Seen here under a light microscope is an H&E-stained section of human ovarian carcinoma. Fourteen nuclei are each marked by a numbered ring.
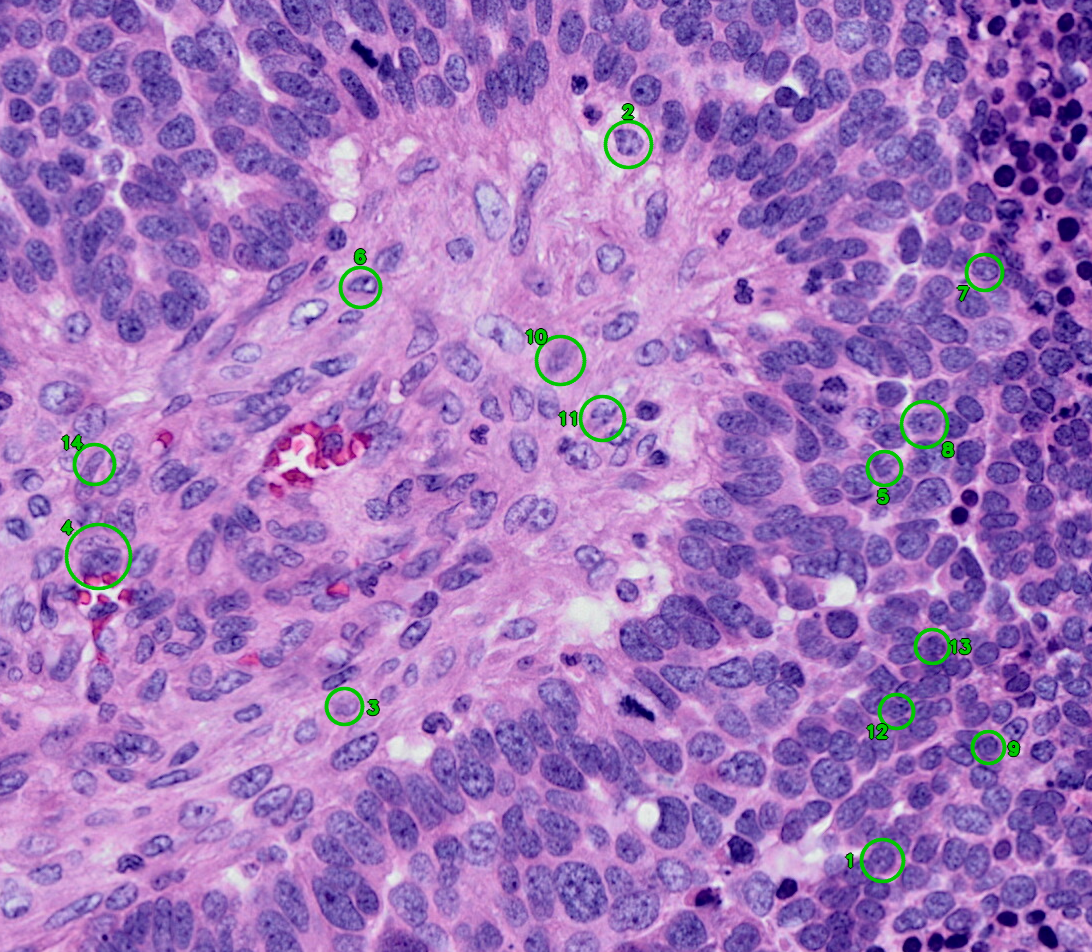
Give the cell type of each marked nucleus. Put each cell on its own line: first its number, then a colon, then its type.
1: carcinoma cell
2: macrophage or monocyte
3: fibroblast
4: endothelial cell
5: carcinoma cell
6: fibroblast
7: carcinoma cell
8: carcinoma cell
9: carcinoma cell
10: fibroblast
11: fibroblast
12: carcinoma cell
13: carcinoma cell
14: fibroblast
